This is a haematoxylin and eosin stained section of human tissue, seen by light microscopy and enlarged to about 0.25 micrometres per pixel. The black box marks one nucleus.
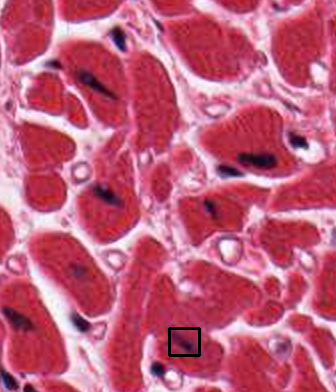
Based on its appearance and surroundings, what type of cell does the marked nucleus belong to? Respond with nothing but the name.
cardiomyocyte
